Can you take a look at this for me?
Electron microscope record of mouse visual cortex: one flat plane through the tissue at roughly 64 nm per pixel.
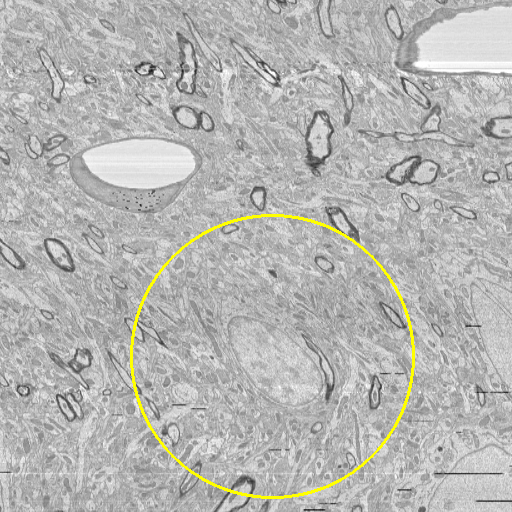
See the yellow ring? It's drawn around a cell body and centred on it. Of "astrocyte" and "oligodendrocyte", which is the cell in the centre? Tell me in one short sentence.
The one in the centre is an oligodendrocyte.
